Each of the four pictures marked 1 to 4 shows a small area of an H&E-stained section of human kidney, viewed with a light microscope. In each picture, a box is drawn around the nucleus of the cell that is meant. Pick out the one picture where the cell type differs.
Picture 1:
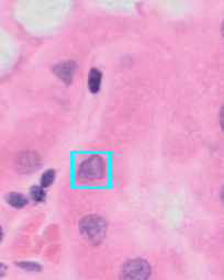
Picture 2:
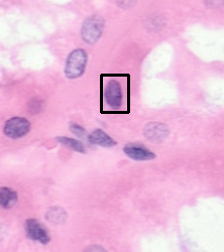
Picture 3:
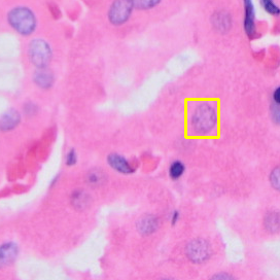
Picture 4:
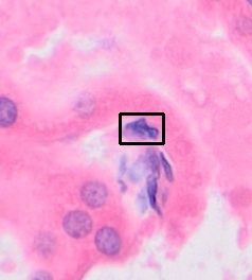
4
